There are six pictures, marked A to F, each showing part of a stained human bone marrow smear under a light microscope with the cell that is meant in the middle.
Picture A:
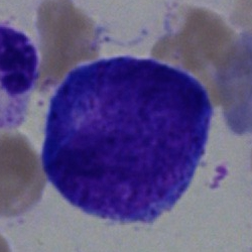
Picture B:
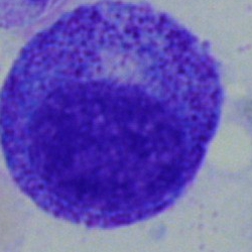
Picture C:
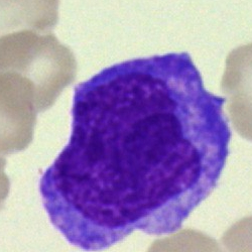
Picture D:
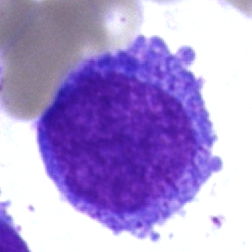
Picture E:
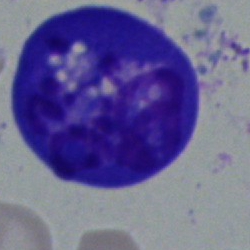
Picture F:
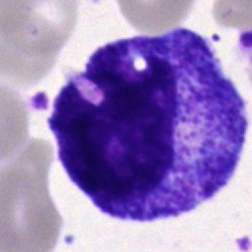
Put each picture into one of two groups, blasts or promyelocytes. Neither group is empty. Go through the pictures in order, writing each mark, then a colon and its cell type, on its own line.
A: promyelocyte
B: promyelocyte
C: blast
D: promyelocyte
E: blast
F: promyelocyte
